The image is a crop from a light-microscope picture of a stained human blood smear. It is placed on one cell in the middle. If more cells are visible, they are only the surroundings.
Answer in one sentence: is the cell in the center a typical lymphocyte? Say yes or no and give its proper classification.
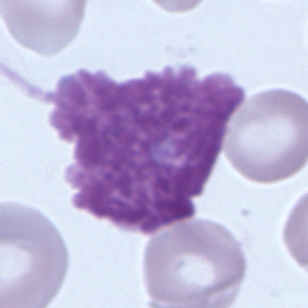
No, the cell at the centre is a smudge cell, which rules out a typical lymphocyte.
